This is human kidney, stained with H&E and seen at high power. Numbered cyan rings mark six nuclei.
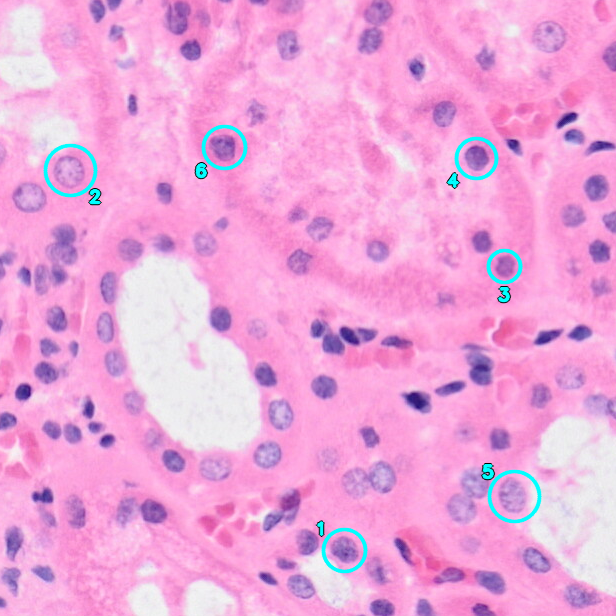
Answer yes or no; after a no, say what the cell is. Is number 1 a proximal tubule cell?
No, it is a loop of Henle or distal tubule cell.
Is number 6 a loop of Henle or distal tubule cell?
No, it is a proximal tubule cell.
